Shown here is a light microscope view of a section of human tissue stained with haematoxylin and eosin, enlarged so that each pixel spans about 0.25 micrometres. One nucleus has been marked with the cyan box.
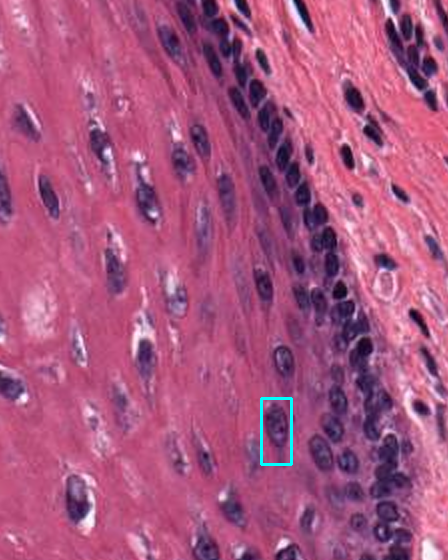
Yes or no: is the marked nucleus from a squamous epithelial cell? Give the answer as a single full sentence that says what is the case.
Yes, in this field of view the marked nucleus belongs to a squamous epithelial cell.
